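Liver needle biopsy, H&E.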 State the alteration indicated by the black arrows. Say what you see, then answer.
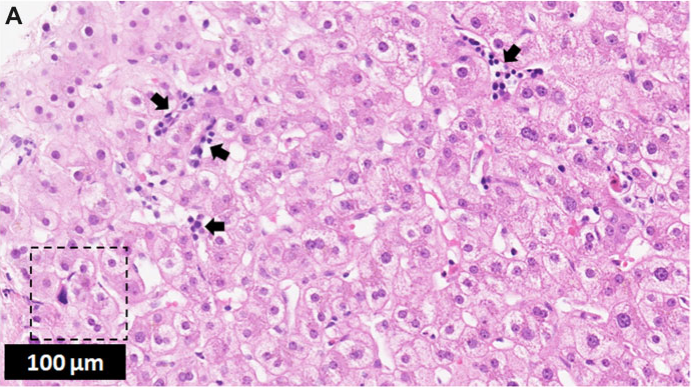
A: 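Small clusters of small, round, darkly stained nuclei lie in the spaces between hepatocyte plates. These clustered cells are much smaller than the surrounding hepatocytes.
Answer: extramedullary hematopoiesis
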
